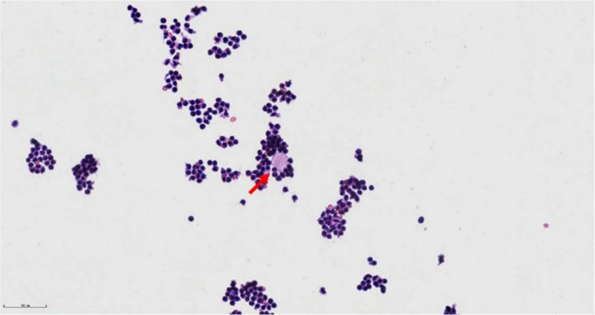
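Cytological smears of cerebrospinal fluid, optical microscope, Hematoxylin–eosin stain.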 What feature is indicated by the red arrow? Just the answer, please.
Protein-like material.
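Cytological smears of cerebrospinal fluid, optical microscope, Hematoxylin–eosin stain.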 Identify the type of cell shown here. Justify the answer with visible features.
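Small round cells with dense, dark purple round nuclei and scant cytoplasm. Cells are uniform in size and lie in small clusters. The answer: lymphocytes.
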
